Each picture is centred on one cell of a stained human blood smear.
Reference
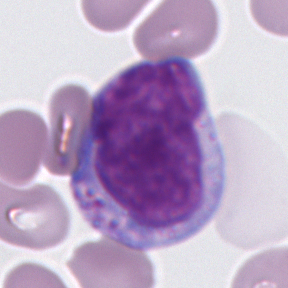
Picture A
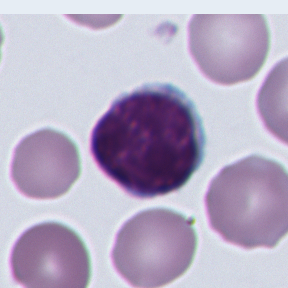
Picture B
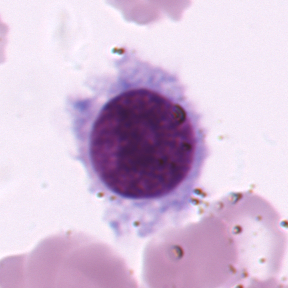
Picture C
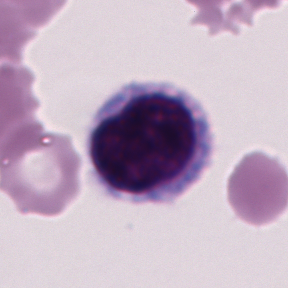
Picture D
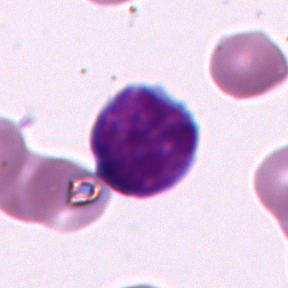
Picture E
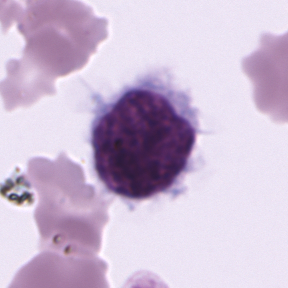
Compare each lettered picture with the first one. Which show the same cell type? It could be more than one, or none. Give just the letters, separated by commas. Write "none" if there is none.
none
